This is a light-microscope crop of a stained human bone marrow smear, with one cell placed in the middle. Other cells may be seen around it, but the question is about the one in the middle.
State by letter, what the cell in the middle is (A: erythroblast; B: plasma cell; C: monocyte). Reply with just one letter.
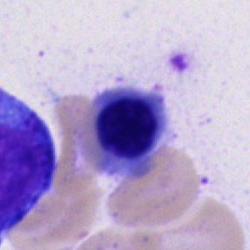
A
